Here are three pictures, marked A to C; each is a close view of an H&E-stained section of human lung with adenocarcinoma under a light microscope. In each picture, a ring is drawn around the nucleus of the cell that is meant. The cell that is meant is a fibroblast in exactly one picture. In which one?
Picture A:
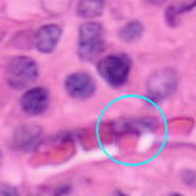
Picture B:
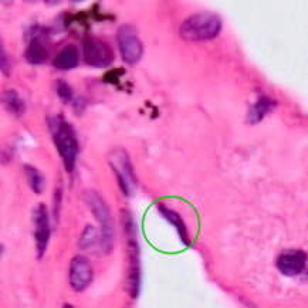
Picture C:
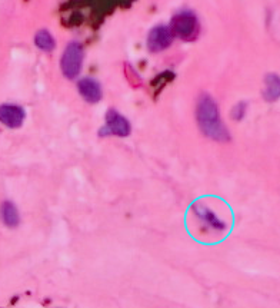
C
